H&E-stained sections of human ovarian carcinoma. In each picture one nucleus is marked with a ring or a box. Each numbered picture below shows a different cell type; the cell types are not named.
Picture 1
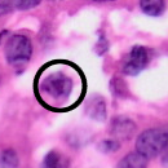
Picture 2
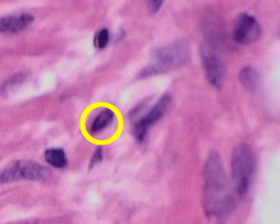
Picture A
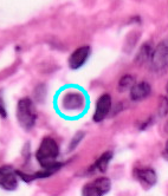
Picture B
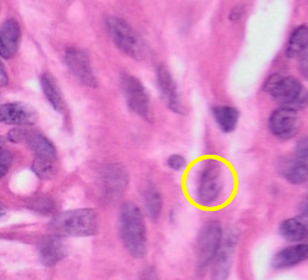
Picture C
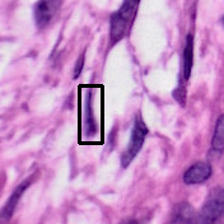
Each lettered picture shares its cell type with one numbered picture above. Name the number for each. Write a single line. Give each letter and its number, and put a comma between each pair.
A 1, B 2, C 2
